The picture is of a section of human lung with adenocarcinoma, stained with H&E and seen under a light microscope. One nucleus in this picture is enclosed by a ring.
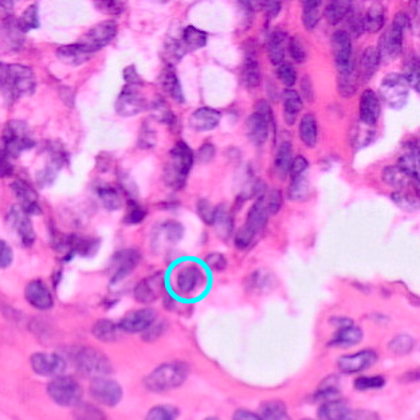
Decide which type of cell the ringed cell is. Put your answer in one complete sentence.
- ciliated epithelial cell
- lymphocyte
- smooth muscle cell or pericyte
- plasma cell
The ringed cell is a ciliated epithelial cell.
